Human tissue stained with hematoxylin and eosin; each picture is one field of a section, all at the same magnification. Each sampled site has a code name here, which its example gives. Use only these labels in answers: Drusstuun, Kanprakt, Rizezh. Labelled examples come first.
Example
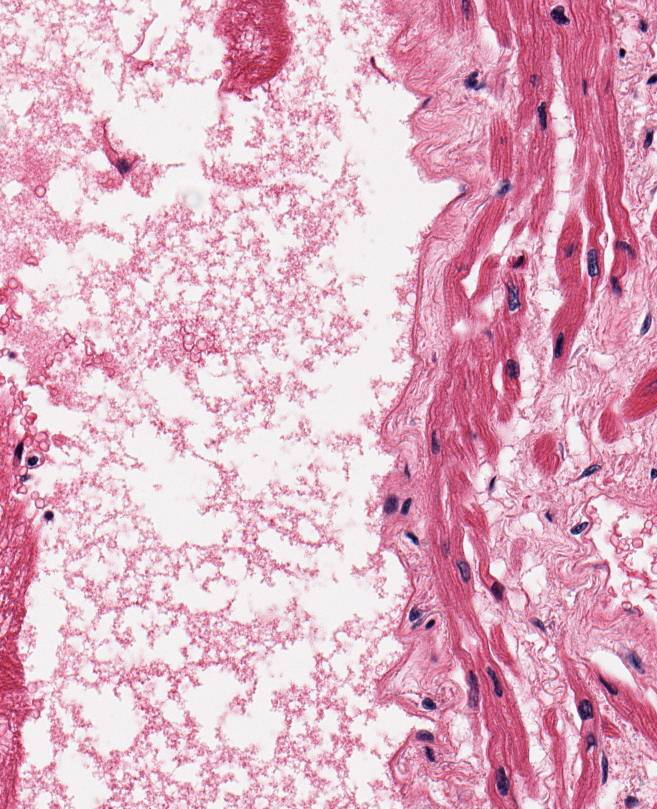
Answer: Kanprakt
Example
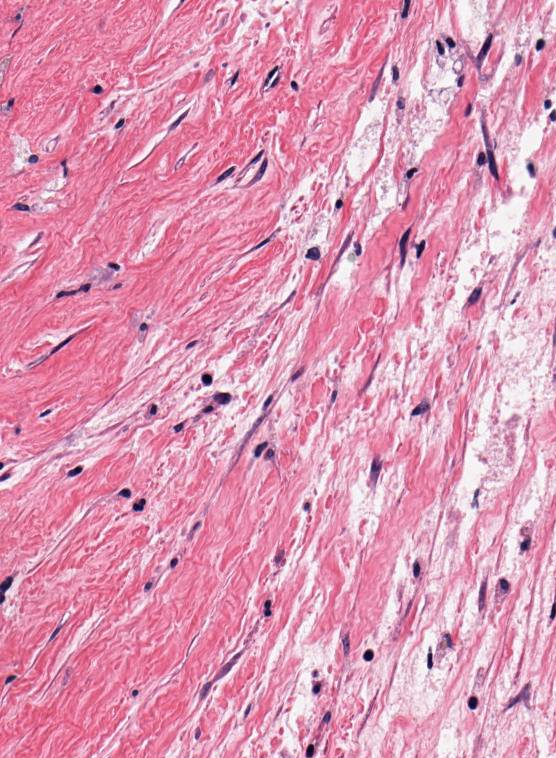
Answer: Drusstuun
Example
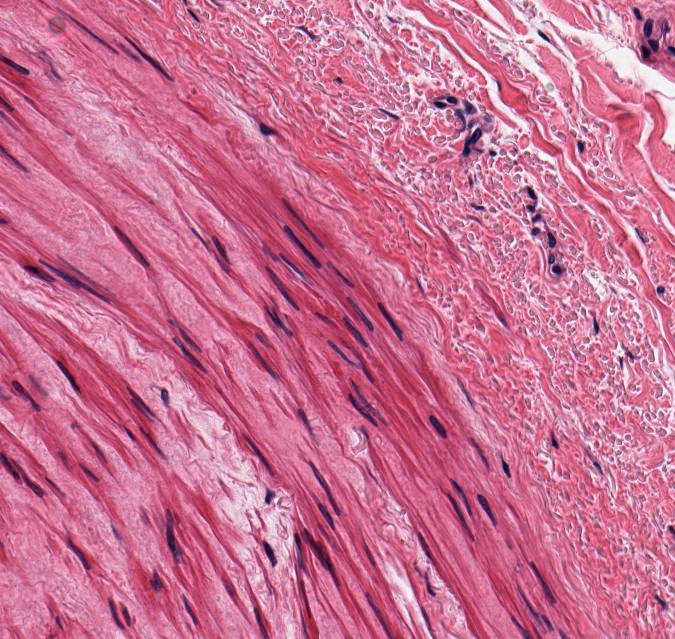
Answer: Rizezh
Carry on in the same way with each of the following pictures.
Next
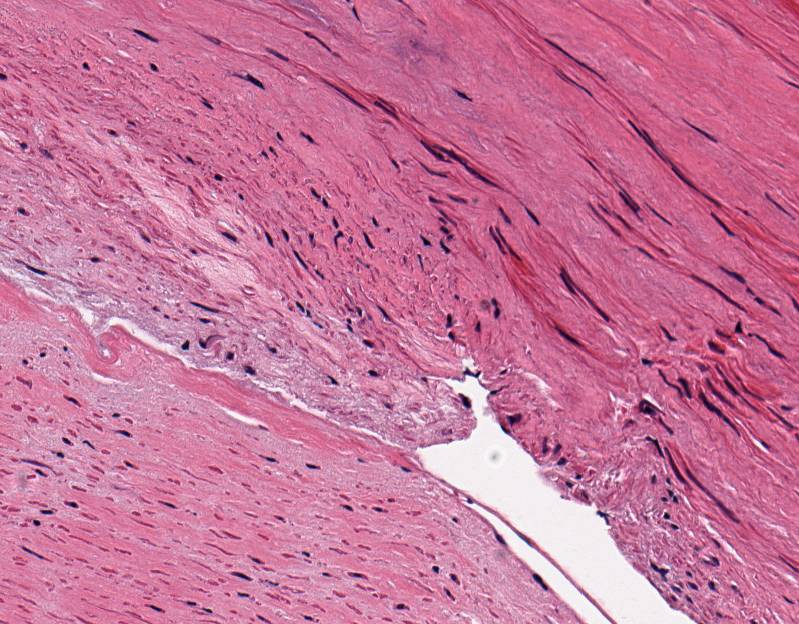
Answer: Rizezh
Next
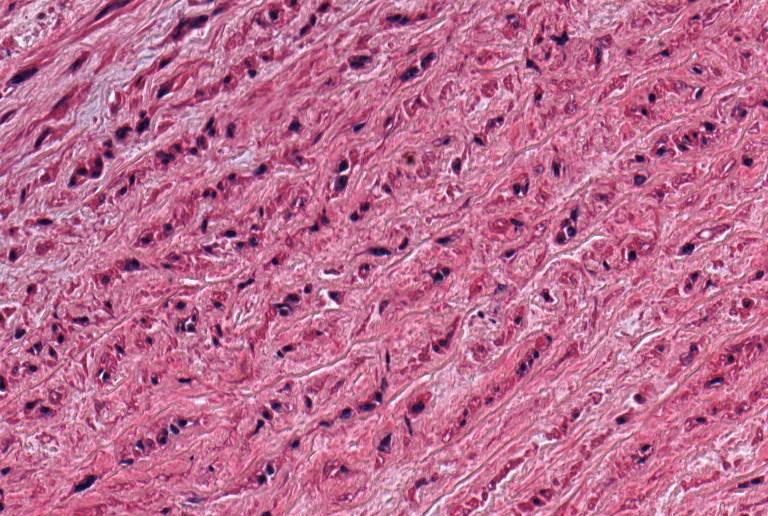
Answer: Drusstuun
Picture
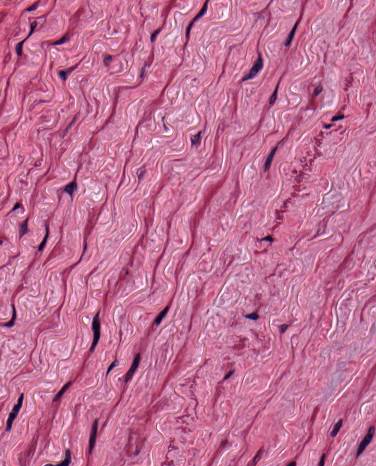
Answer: Drusstuun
